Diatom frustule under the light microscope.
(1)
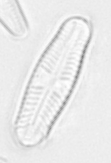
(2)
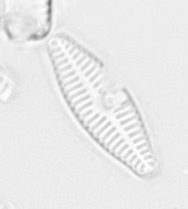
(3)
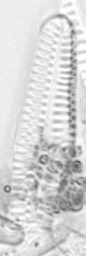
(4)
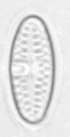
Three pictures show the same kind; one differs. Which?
Picture 1: Sellaphora, while the others are Planothidium.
